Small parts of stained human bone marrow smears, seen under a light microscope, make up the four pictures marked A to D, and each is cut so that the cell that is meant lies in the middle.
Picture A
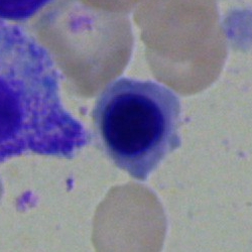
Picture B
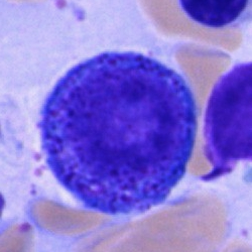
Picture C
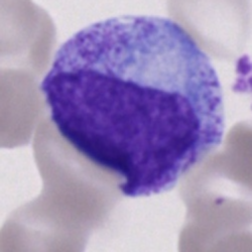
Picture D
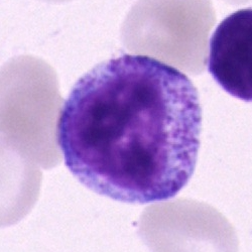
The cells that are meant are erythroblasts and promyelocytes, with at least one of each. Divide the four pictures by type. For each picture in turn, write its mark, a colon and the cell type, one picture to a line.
A: erythroblast
B: promyelocyte
C: promyelocyte
D: promyelocyte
